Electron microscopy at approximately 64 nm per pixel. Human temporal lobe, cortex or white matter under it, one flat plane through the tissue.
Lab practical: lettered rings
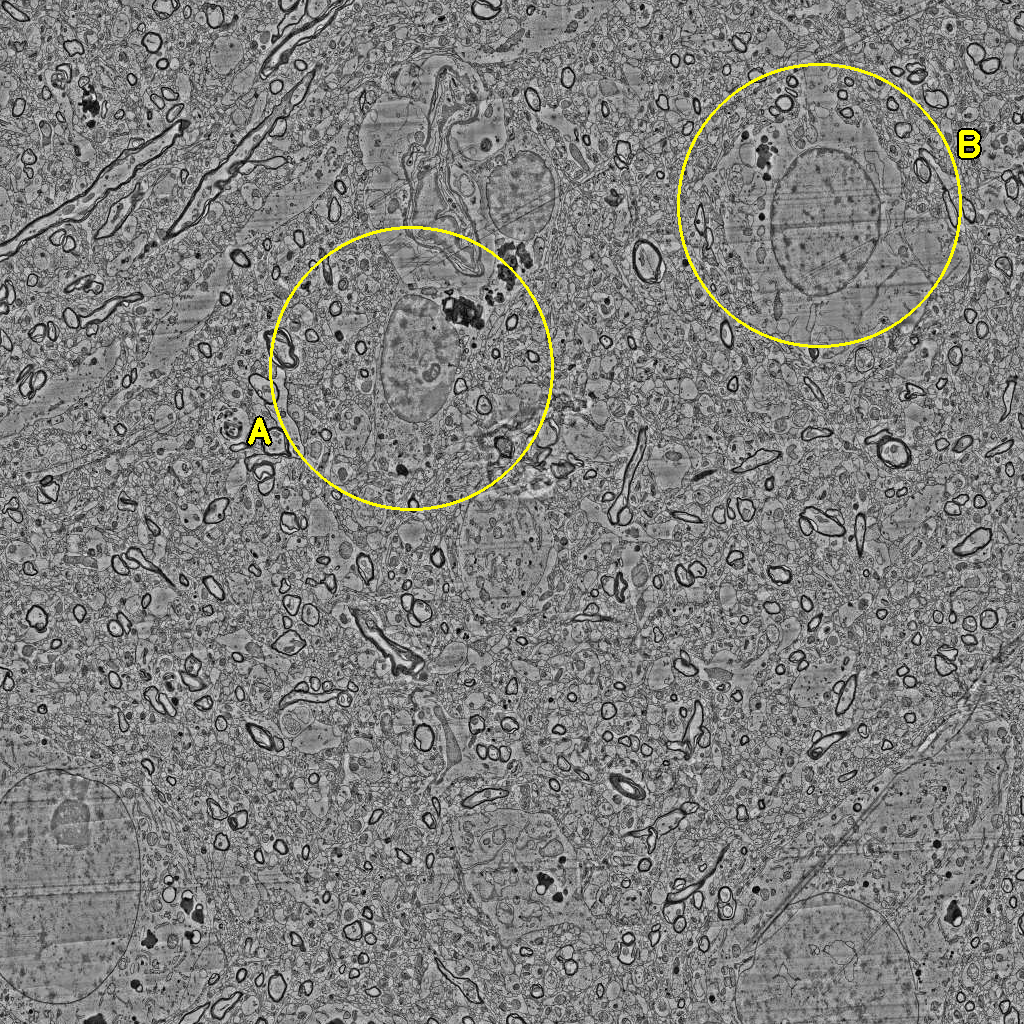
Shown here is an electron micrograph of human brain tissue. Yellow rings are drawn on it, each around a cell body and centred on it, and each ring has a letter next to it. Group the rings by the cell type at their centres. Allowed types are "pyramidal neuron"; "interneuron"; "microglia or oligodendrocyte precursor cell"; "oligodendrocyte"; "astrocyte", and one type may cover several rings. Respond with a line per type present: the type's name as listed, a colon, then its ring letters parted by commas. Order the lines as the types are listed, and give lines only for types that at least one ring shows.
oligodendrocyte: A
astrocyte: B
